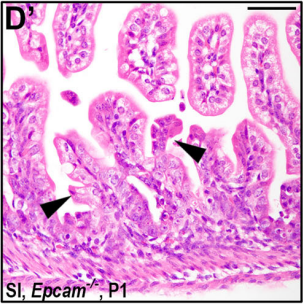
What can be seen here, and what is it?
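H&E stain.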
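Small intestinal mucosa with villi lined by columnar epithelial cells with pink cytoplasm and purple oval nuclei. Many epithelial cells show pale, vacuolated cytoplasm. In several places the lining is disorganised, with epithelial cells heaped into small tufts that protrude into the lumen instead of forming one orderly layer. Some fragments of epithelium lie loose between the villi. Beneath the mucosa runs a thin layer of smooth muscle with elongated nuclei.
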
